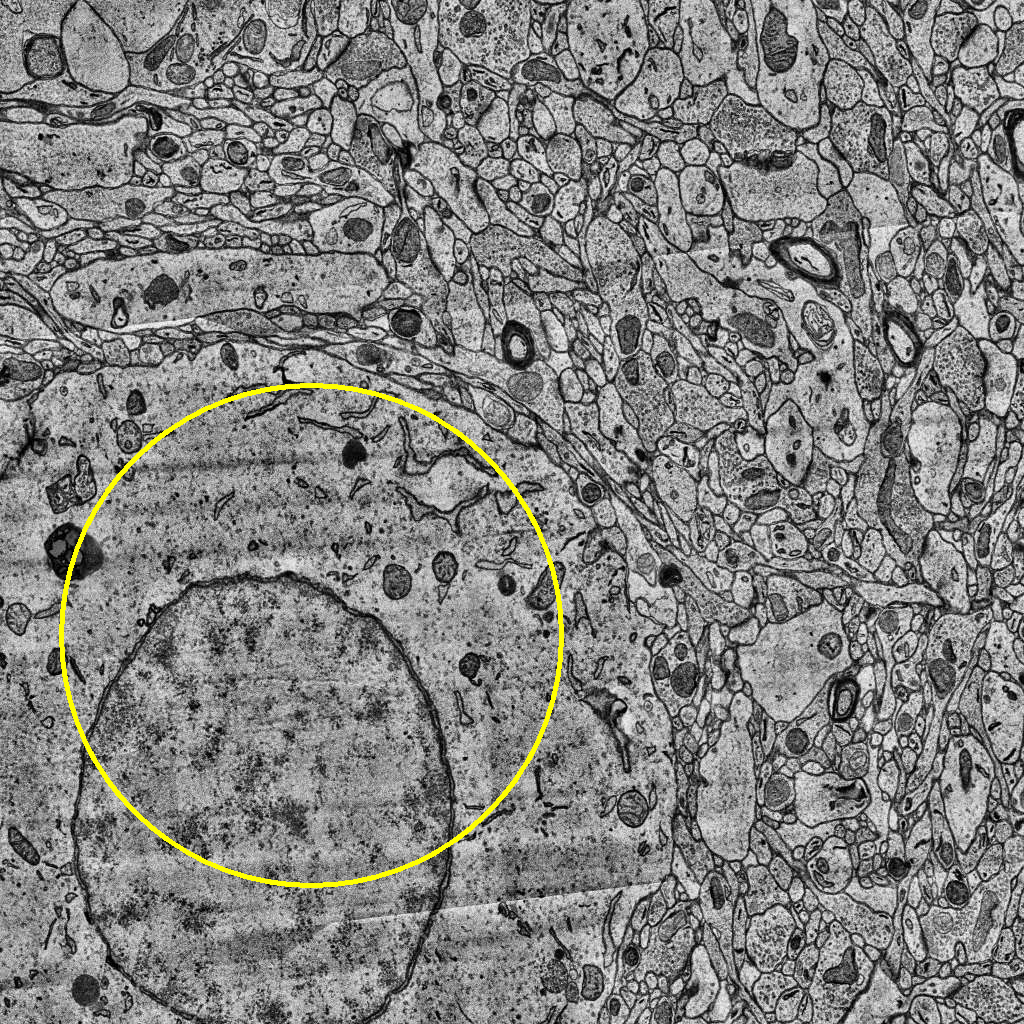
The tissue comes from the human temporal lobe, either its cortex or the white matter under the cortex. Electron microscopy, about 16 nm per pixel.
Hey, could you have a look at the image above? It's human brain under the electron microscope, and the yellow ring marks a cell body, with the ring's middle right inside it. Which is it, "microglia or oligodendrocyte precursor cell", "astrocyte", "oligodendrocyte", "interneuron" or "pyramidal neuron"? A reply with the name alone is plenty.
pyramidal neuron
